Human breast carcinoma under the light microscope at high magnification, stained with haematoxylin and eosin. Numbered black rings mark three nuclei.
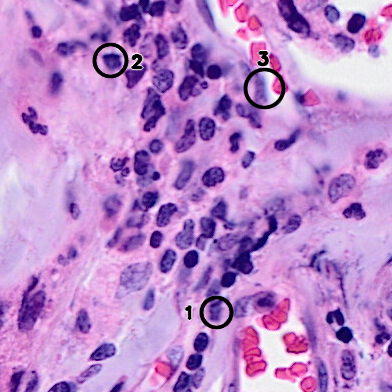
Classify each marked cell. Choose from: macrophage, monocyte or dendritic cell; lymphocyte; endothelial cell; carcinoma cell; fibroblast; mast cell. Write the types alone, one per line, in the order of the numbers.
lymphocyte
lymphocyte
endothelial cell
